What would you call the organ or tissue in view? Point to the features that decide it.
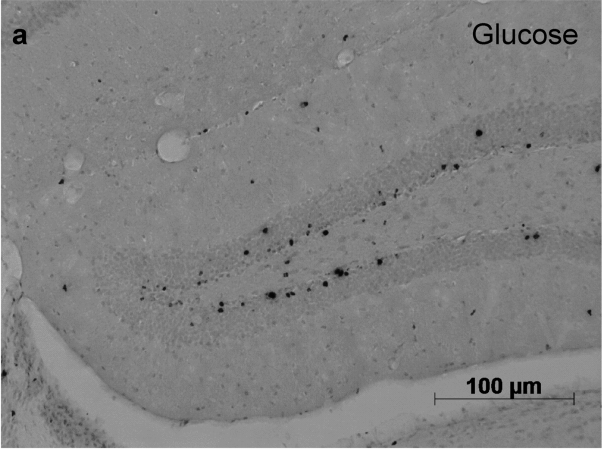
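A curved, V-shaped band of densely packed cells forms two blades. The two blades enclose a paler central region. Small dark-stained nuclei line the inner edge of the band.
Hence: dentate gyrus.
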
